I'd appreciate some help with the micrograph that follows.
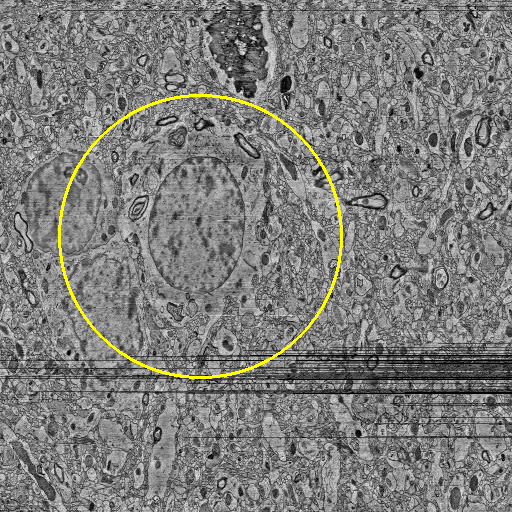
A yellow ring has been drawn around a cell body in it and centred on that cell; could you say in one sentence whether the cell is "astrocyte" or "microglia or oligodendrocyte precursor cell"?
It is an astrocyte at the centre of the ring.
